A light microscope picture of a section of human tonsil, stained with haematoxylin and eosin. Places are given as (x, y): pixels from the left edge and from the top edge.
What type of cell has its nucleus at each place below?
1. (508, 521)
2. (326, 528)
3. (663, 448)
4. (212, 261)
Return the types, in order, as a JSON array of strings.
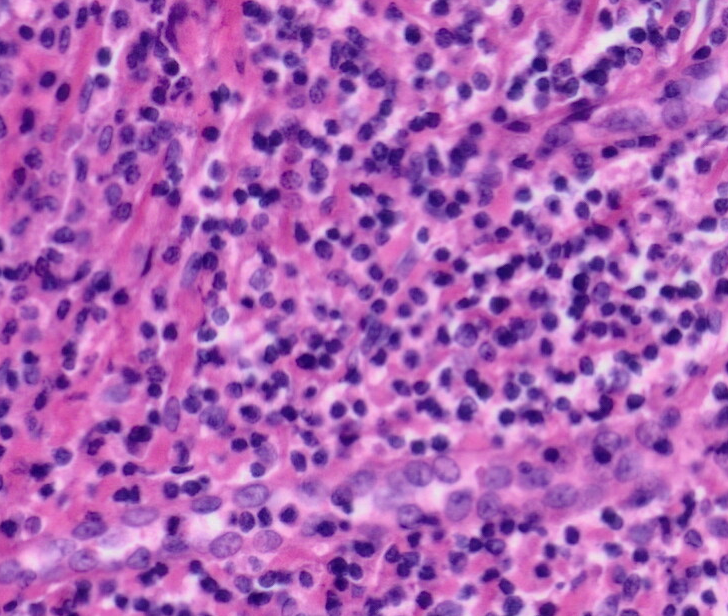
["endothelial cell", "endothelial cell", "endothelial cell", "plasma cell"]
